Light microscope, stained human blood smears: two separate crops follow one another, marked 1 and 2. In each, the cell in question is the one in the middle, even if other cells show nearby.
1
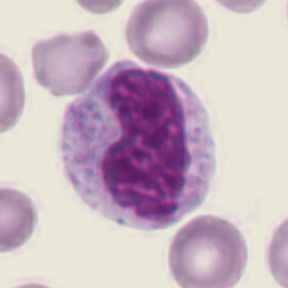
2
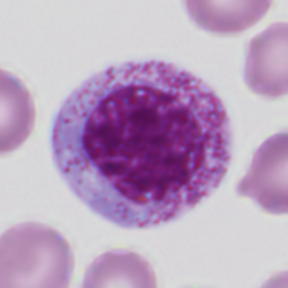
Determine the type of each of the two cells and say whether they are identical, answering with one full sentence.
No, the cell shown in crop 1 is a metamyelocyte, and the cell shown in crop 2 is a myelocyte.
